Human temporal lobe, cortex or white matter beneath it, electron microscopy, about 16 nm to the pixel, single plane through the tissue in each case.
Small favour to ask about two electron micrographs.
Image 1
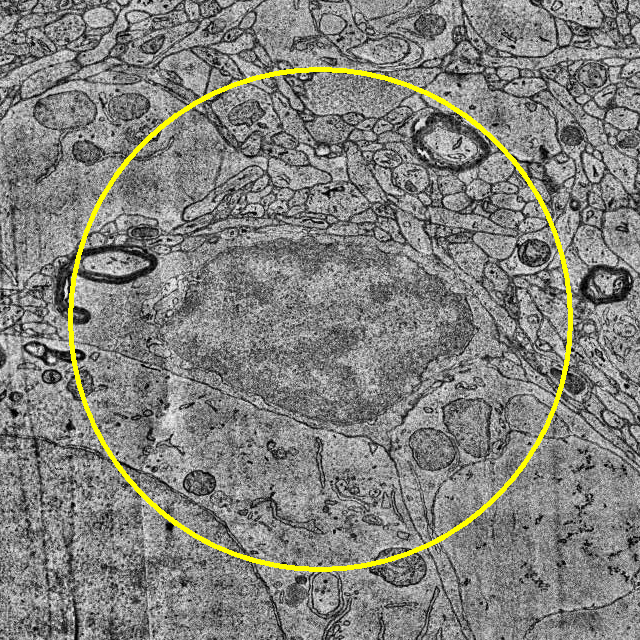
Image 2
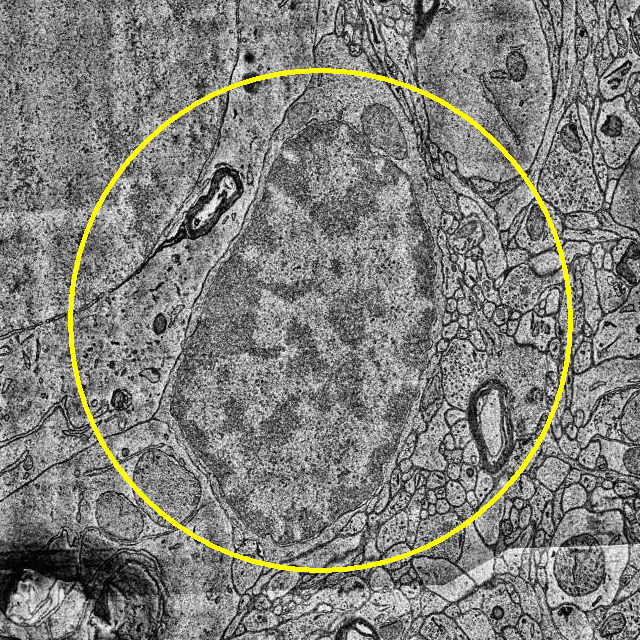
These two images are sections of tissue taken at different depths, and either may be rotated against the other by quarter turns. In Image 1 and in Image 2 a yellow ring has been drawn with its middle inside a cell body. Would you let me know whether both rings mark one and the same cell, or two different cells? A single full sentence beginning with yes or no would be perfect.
Yes, each ring singles out the same cell.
